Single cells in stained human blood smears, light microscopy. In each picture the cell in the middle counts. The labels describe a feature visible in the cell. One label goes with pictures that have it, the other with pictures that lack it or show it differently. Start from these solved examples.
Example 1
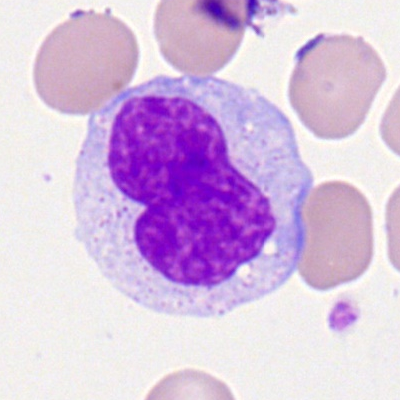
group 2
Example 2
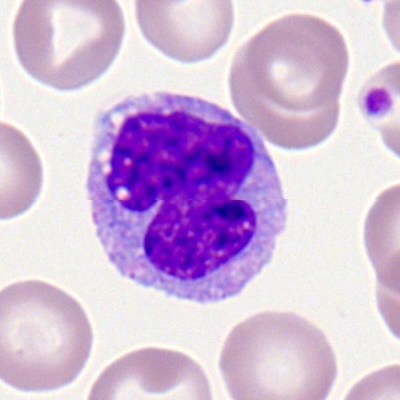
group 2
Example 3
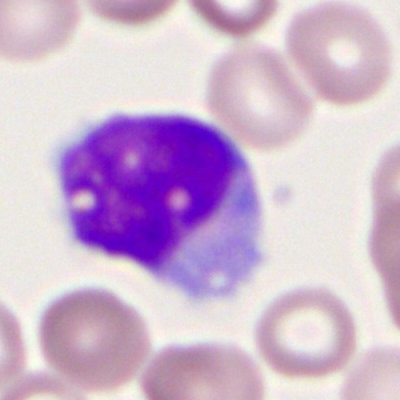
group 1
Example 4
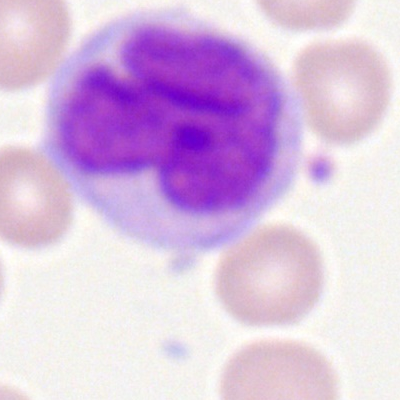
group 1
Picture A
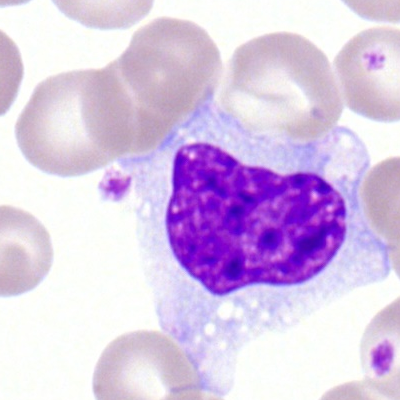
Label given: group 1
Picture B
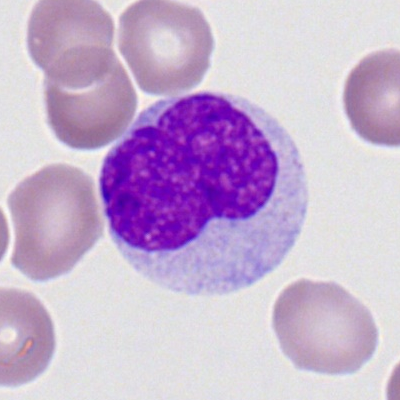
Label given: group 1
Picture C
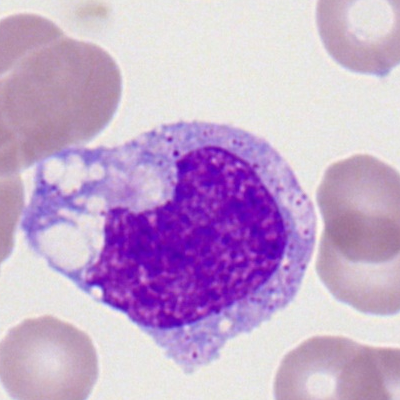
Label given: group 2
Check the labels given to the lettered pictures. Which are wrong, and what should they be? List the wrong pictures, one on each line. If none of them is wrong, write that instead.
Wrong: A (group 1); correct: group 2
